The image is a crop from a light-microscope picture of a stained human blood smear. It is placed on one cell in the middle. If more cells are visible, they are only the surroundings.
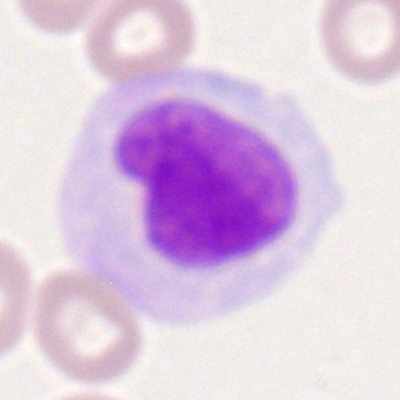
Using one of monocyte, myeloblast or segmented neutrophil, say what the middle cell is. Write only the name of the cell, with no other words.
monocyte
